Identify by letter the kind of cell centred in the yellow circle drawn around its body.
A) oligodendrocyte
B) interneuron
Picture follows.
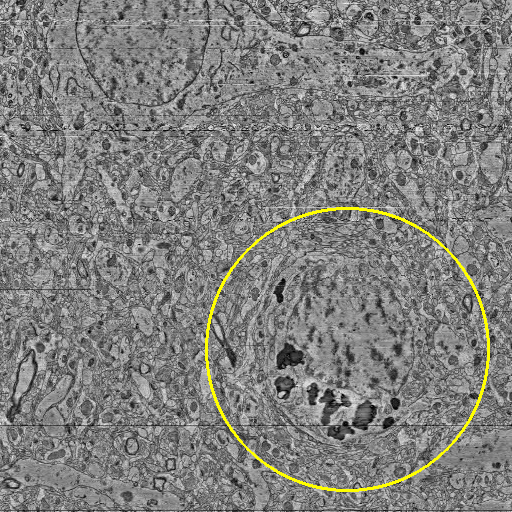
B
